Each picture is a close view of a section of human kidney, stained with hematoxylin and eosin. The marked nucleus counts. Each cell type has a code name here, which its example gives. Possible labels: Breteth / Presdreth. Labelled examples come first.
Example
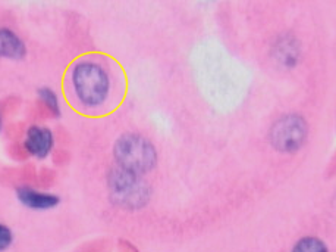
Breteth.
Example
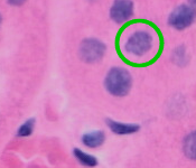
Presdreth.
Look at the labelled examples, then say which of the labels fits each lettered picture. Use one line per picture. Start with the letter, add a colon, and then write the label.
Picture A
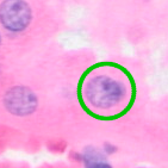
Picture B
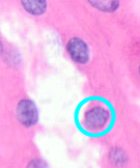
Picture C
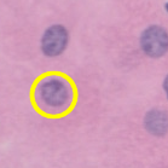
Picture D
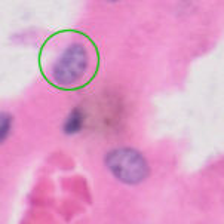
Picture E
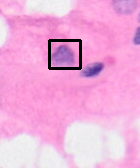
A: Breteth.
B: Presdreth.
C: Breteth.
D: Presdreth.
E: Breteth.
